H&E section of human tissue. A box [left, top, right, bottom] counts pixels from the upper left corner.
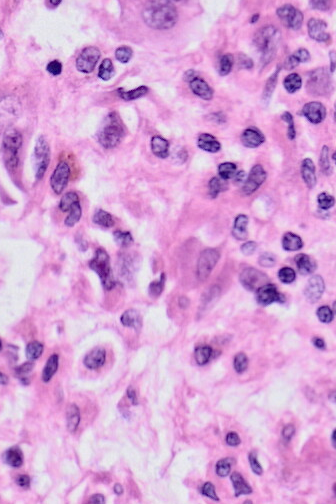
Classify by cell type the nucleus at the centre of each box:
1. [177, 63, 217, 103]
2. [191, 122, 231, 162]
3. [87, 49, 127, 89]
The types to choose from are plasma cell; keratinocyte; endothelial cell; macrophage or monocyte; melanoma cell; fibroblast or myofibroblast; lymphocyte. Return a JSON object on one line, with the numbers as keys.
{"1": "macrophage or monocyte", "2": "lymphocyte", "3": "lymphocyte"}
